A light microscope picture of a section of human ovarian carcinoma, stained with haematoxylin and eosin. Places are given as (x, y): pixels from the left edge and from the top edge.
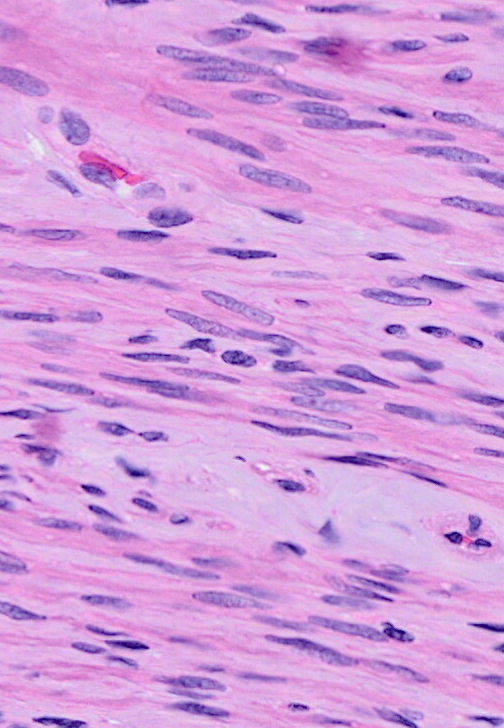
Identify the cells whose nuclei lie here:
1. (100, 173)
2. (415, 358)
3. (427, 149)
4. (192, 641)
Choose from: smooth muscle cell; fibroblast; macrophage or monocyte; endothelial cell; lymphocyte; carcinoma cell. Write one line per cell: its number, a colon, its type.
1: endothelial cell
2: smooth muscle cell
3: smooth muscle cell
4: smooth muscle cell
